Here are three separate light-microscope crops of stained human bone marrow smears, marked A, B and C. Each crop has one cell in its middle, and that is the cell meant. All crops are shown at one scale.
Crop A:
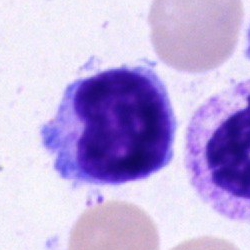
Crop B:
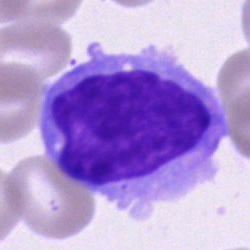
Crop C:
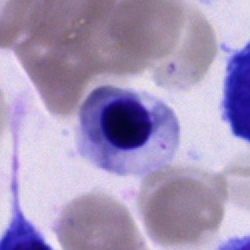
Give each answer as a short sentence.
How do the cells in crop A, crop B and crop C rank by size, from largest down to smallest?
From the largest down, the order is B, A, C.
